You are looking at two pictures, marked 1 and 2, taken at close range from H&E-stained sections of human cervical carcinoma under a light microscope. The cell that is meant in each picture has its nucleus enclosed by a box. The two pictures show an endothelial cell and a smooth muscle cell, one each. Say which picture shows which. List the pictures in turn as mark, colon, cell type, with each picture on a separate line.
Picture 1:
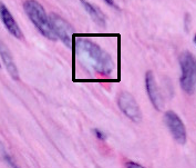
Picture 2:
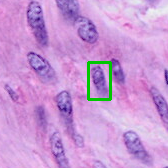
1: endothelial cell
2: smooth muscle cell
